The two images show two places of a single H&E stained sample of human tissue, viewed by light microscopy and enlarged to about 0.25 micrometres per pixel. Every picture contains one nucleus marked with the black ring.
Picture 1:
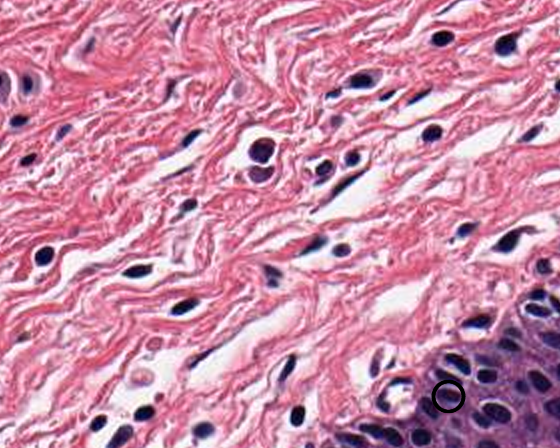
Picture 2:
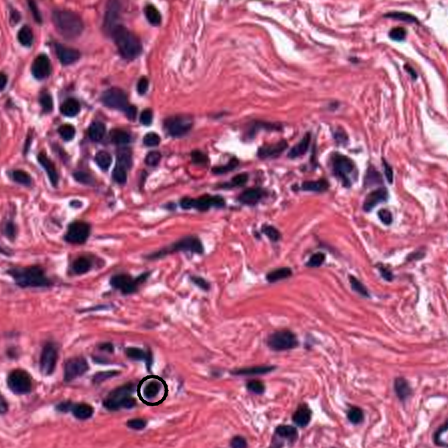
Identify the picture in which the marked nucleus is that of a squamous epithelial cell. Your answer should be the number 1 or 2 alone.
1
